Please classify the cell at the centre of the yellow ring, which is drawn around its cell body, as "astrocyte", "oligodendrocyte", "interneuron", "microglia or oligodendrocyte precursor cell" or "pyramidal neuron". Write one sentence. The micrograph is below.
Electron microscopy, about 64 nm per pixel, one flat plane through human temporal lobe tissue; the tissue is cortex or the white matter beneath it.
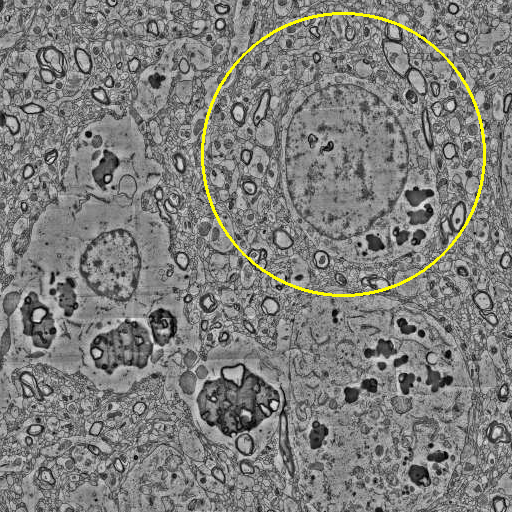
The cell at the ring's centre is classified as an interneuron.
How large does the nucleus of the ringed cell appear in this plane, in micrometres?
Roughly 10 by 8 micrometres is the size of the nucleus in this plane.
